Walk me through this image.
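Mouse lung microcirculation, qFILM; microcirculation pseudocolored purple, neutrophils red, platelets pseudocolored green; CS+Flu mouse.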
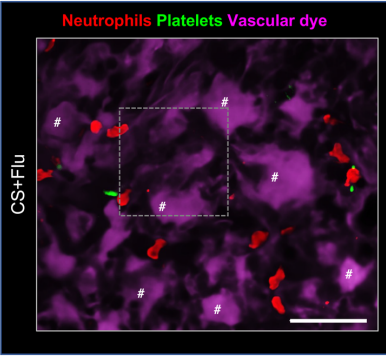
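Rounded and irregular compartments across the field are filled with bright, smooth purple, separated by darker bands, so the thin meshwork of open air spaces is largely lost. Numerous small, irregular red cells lie scattered between and along these compartments, several elongated or lobed in outline. A few tiny green specks lie near some of the red cells.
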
